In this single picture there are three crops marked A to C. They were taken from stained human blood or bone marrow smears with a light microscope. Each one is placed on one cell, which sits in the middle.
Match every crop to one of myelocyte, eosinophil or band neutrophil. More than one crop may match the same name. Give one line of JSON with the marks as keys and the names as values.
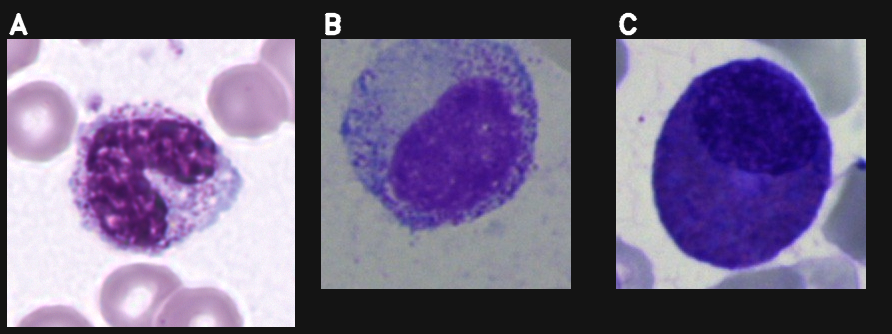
{"A": "band neutrophil", "B": "myelocyte", "C": "eosinophil"}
